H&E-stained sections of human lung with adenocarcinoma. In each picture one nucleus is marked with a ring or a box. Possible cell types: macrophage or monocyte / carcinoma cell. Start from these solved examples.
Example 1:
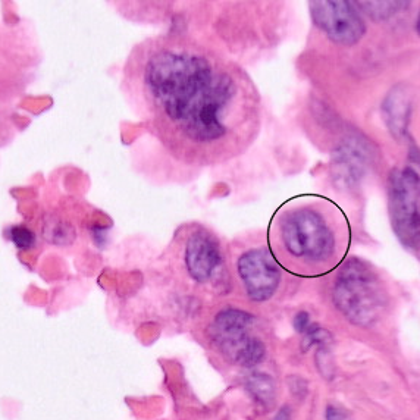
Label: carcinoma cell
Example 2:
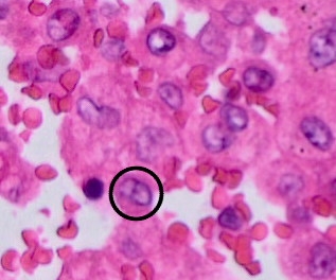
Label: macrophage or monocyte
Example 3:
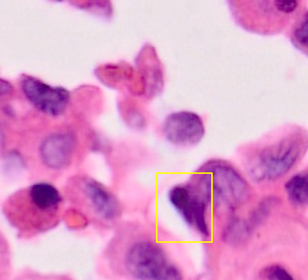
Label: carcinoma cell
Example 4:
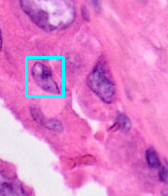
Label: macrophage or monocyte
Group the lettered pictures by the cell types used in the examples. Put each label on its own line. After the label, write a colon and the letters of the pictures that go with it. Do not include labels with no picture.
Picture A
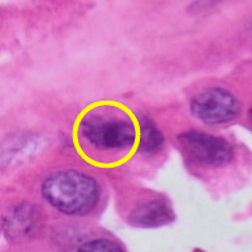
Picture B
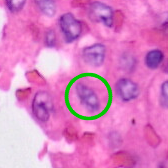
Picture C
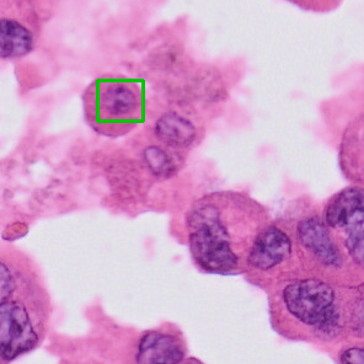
macrophage or monocyte: B, C
carcinoma cell: A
